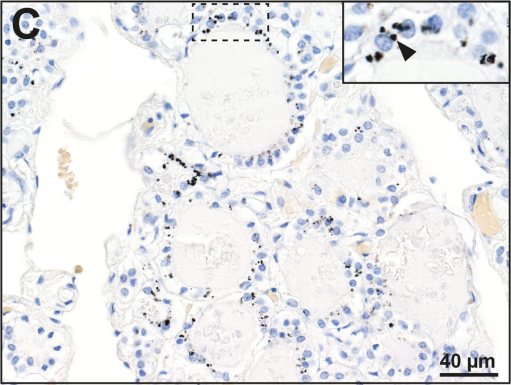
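This is thyroid tissue made of round follicles, each lined by a single layer of cuboidal follicular cells with round blue nuclei around a lumen of pale colloid. Black granules lie in the cytoplasm of a minority of the follicular cells, scattered around some follicles, while many lining cells are free of them. Thin strands of interstitial tissue with small vessels containing yellowish red blood cells separate the follicles.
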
